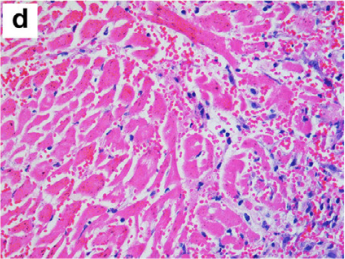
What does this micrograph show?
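Heart muscle with pink-stained cardiac muscle fibres, cut obliquely and partly across. The fibres are separated by widened spaces and appear broken into irregular fragments. Abundant red blood cells lie free between the fibres. Small dark blue-purple nuclei are scattered in the interstitium among the fibres, most densely towards the lower right.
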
